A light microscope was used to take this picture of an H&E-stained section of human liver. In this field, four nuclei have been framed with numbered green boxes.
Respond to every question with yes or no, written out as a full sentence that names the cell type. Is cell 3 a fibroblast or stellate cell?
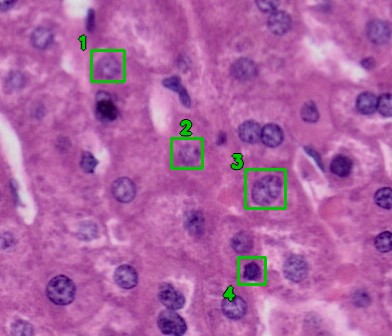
No, it's not a fibroblast or stellate cell at number 3; that cell is a hepatocyte.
